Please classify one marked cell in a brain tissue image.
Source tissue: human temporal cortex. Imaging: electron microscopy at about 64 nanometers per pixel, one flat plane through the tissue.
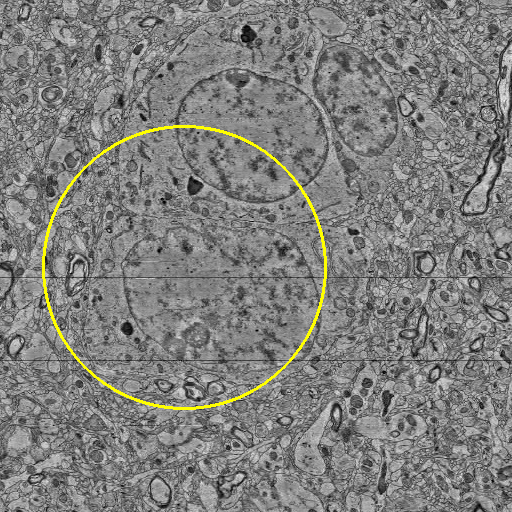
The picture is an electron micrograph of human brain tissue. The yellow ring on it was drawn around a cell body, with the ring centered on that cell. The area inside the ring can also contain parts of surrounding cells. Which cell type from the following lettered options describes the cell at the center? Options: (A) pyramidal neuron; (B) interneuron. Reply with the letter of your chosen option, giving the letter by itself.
B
